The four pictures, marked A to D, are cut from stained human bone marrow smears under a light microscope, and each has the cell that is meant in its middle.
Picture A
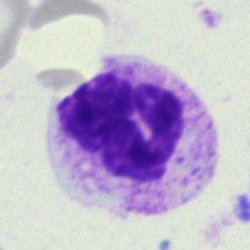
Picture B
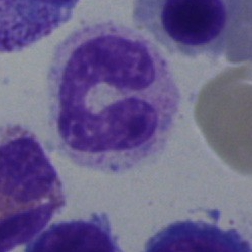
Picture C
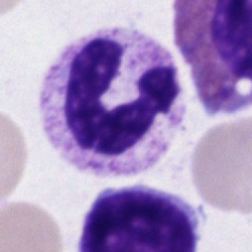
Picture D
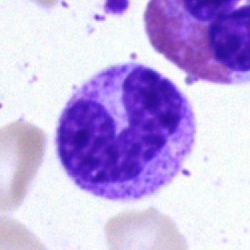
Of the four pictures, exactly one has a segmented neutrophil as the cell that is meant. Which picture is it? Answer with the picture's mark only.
A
